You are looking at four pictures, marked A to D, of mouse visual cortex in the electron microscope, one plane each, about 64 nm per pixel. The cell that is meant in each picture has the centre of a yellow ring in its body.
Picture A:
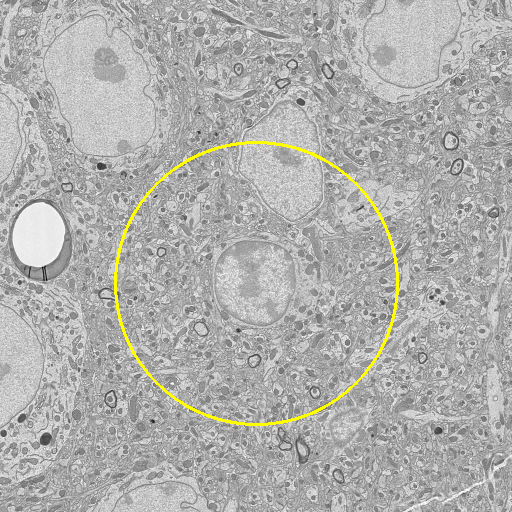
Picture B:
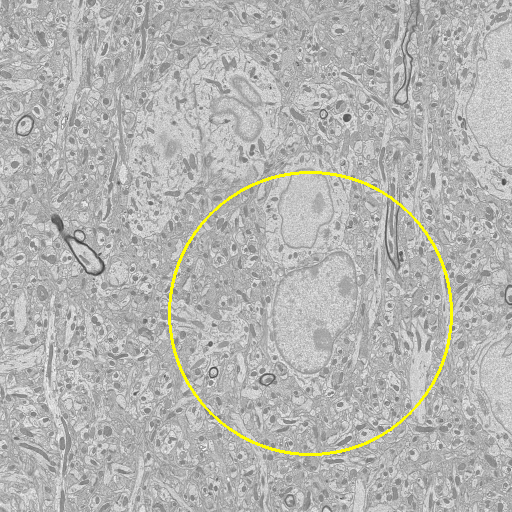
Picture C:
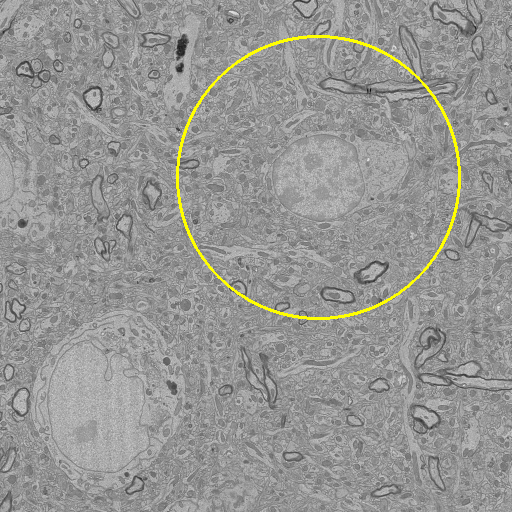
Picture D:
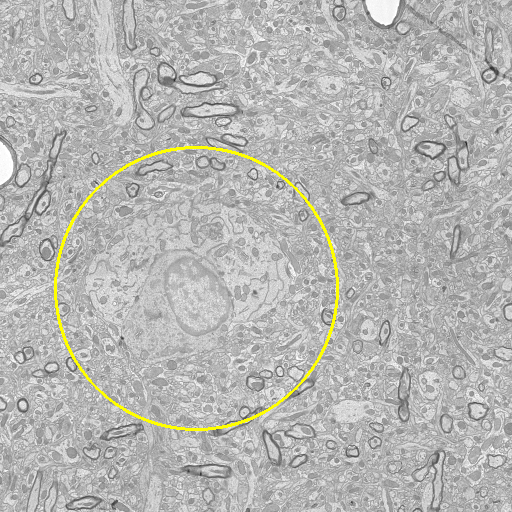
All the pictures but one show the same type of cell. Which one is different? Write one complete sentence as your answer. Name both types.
The others show oligodendrocytes, but picture B shows an astrocyte.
